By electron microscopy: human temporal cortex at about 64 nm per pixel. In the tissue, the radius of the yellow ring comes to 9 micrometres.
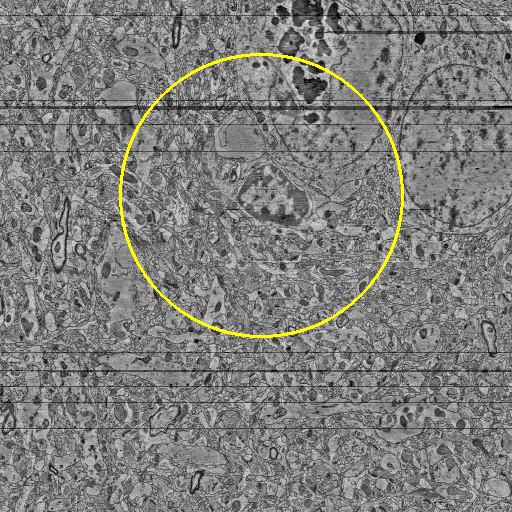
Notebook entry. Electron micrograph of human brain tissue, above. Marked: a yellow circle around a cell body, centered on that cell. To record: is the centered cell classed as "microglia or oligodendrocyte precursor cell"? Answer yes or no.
Yes, the centered cell is classed that way.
